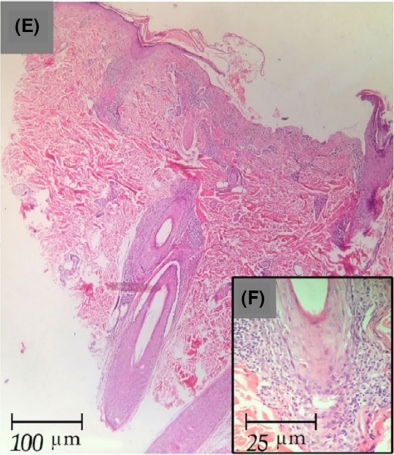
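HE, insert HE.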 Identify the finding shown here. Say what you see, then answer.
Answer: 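A dense band of small purple-nucleated cells surrounds the upper part of a hair follicle. The answer: lichenoid infiltrate confined to perifollicular location.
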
